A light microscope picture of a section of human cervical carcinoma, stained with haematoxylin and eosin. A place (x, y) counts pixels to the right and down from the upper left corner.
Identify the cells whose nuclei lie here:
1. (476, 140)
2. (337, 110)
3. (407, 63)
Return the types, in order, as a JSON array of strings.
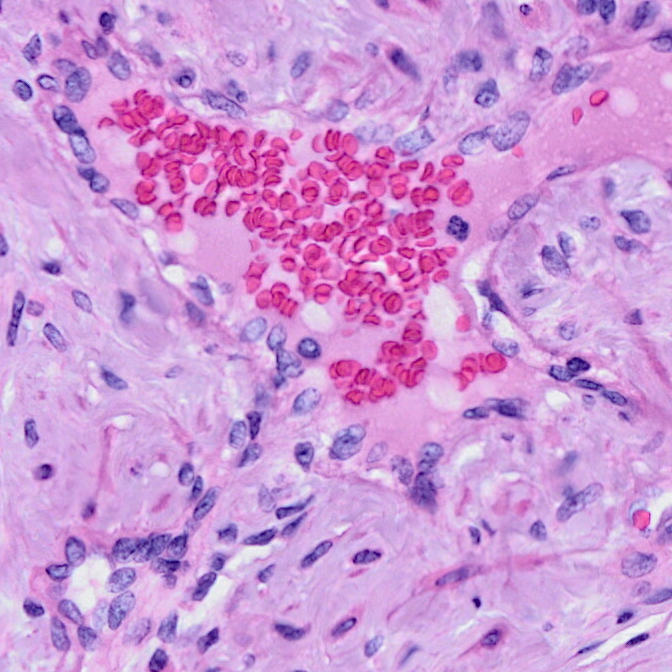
["endothelial cell", "endothelial cell", "smooth muscle cell"]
